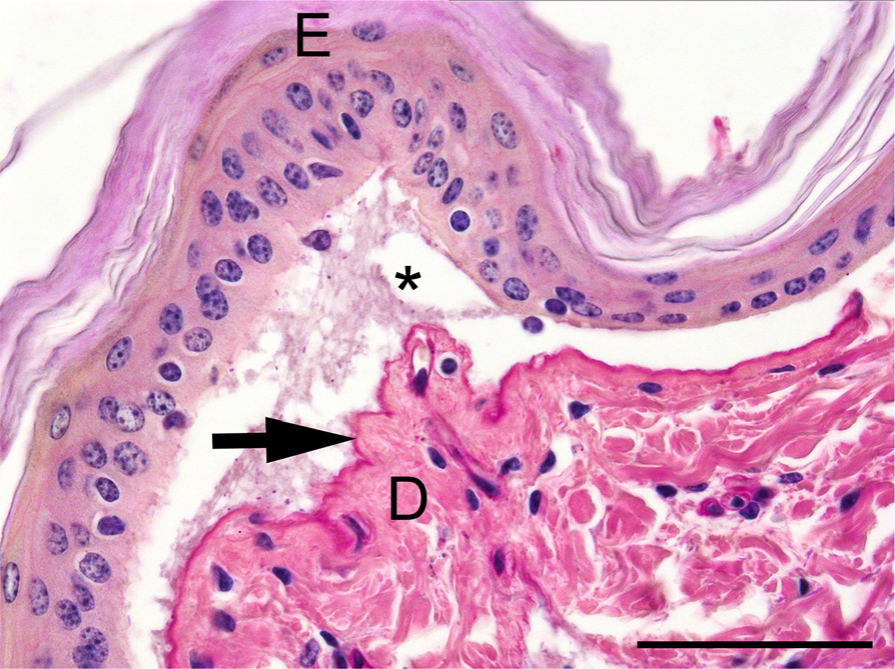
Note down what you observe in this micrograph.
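This is skin in which the epidermis is split away from the dermis by a subepidermal cleft. The epidermis above is a stratified squamous epithelium of cells with oval, stippled purple nuclei and pinkish cytoplasm, topped by a wavy, layered keratin sheet.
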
